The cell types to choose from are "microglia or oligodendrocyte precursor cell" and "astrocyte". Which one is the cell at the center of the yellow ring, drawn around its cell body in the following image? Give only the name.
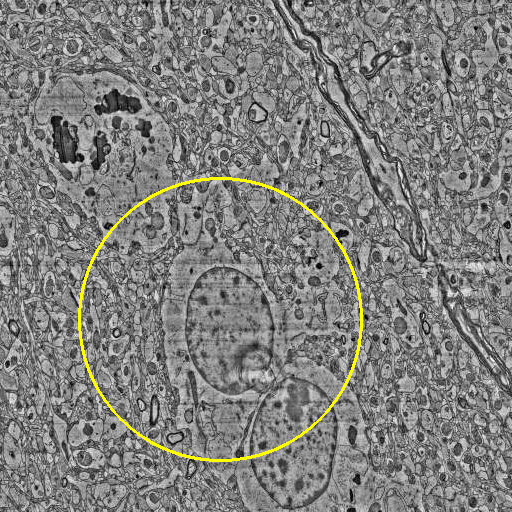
astrocyte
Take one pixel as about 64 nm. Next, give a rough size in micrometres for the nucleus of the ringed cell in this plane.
In this plane the nucleus measures roughly 8 by 6 micrometers.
